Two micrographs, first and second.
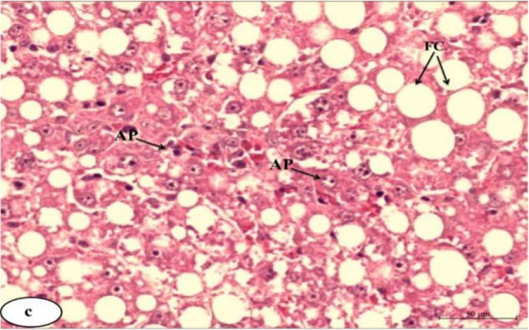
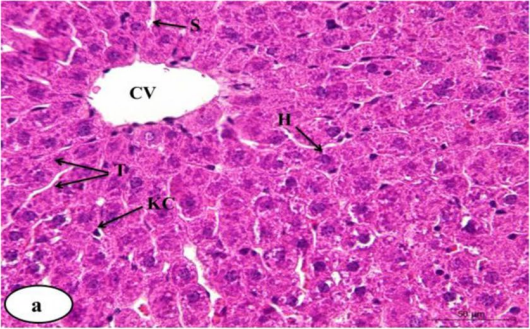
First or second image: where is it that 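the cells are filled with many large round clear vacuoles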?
the first image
